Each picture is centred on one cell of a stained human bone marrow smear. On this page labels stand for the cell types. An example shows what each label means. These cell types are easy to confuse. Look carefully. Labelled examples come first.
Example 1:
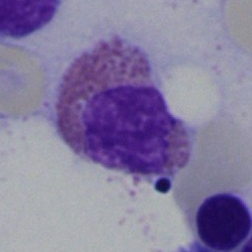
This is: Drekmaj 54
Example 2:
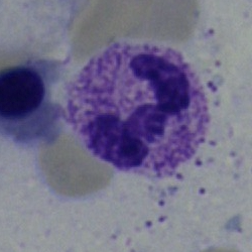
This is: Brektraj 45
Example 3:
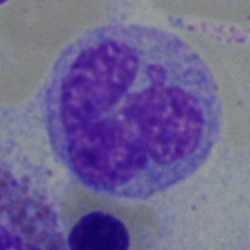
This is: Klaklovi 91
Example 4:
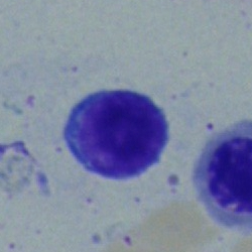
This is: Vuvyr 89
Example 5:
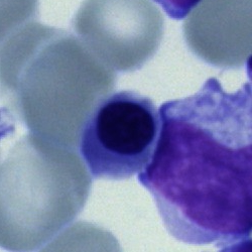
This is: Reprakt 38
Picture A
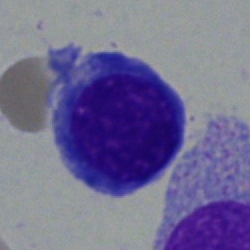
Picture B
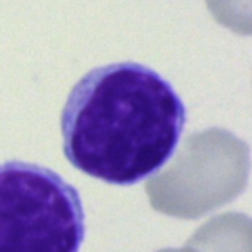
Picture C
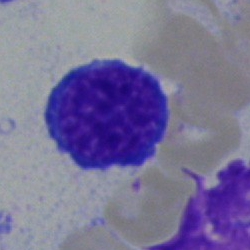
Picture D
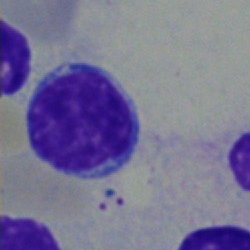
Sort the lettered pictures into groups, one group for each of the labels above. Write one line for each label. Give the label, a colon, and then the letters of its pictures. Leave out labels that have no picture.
Vuvyr 89: B, C, D
Reprakt 38: A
